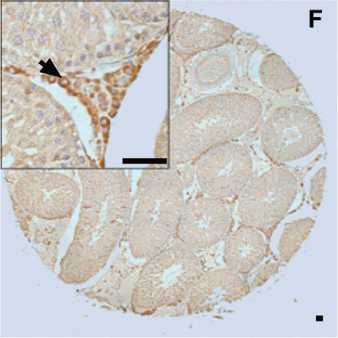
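A cross-section of testis shows many round seminiferous tubules with layered epithelium around central lumens, separated by narrow interstitial spaces. The tubule epithelium is only faintly brown, while cells in the interstitium stain more strongly brown. The enlarged inset shows a triangular interstitial space between tubules filled with a cluster of rounded to polygonal cells with round nuclei and brown-stained cytoplasm. These interstitial cells sit outside the thin walls of the neighbouring tubules.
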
